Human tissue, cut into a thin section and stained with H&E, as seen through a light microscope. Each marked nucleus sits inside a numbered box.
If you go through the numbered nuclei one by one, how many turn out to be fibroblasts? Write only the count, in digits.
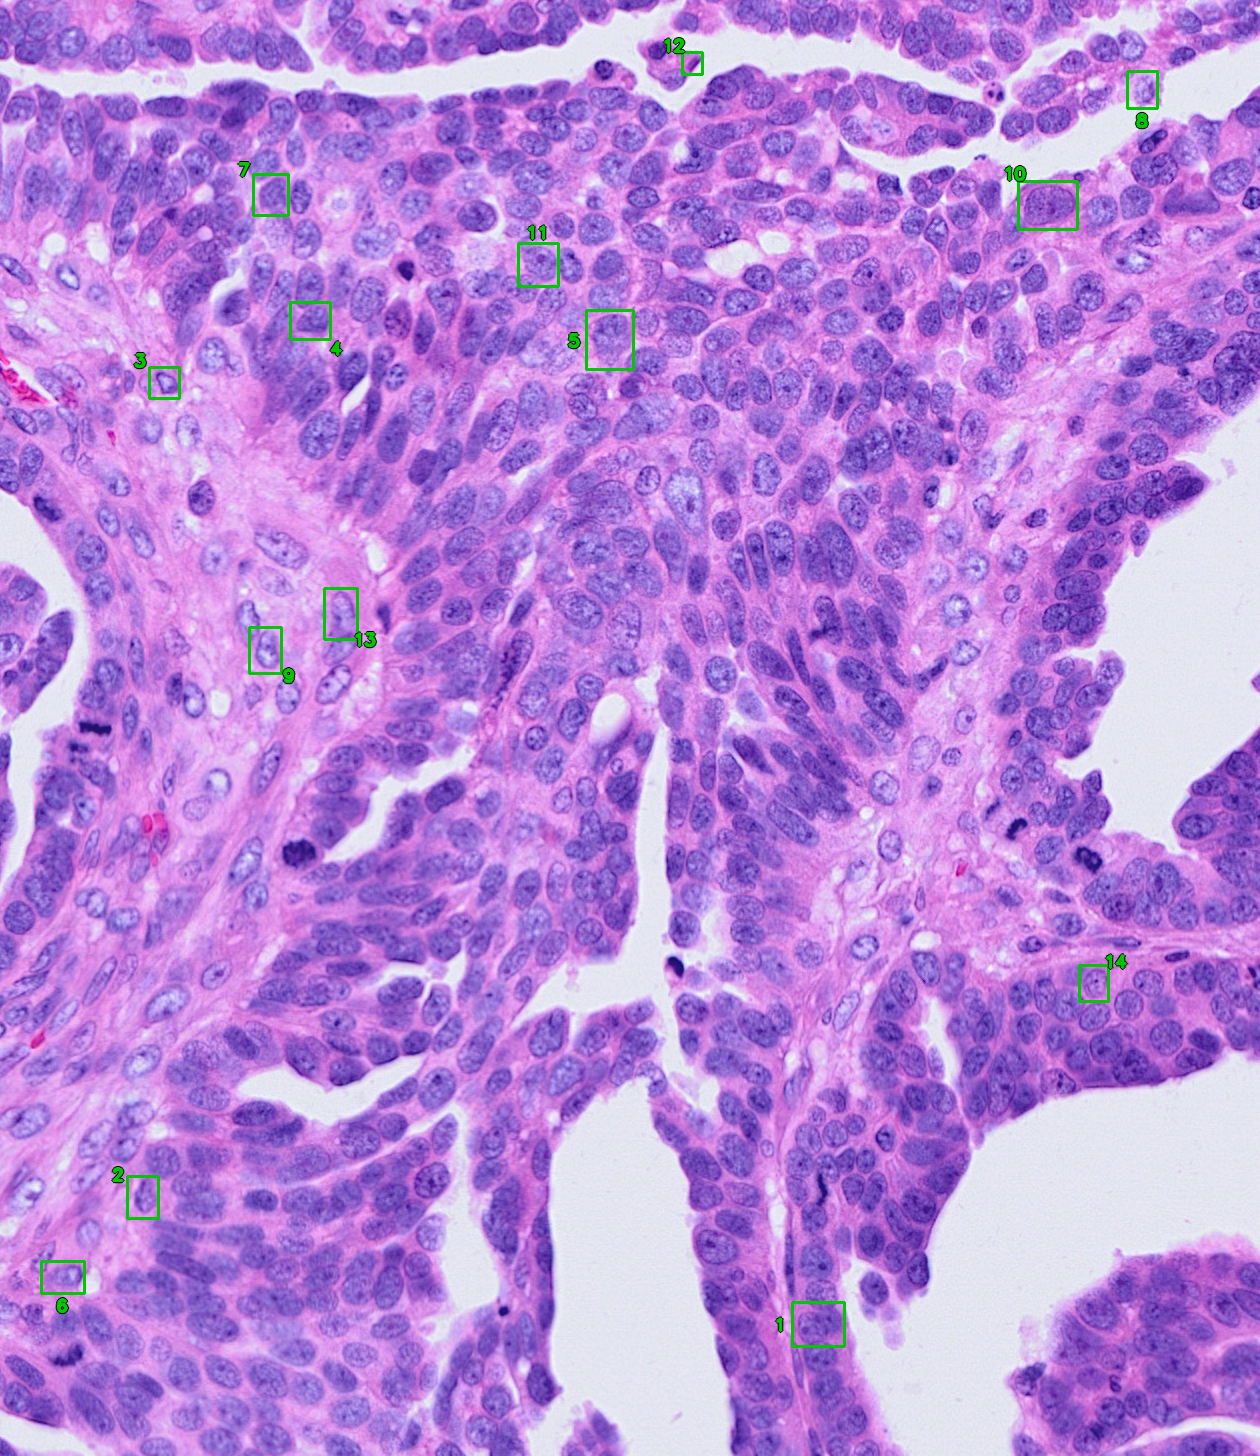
4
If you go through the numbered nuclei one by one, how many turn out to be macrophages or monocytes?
2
